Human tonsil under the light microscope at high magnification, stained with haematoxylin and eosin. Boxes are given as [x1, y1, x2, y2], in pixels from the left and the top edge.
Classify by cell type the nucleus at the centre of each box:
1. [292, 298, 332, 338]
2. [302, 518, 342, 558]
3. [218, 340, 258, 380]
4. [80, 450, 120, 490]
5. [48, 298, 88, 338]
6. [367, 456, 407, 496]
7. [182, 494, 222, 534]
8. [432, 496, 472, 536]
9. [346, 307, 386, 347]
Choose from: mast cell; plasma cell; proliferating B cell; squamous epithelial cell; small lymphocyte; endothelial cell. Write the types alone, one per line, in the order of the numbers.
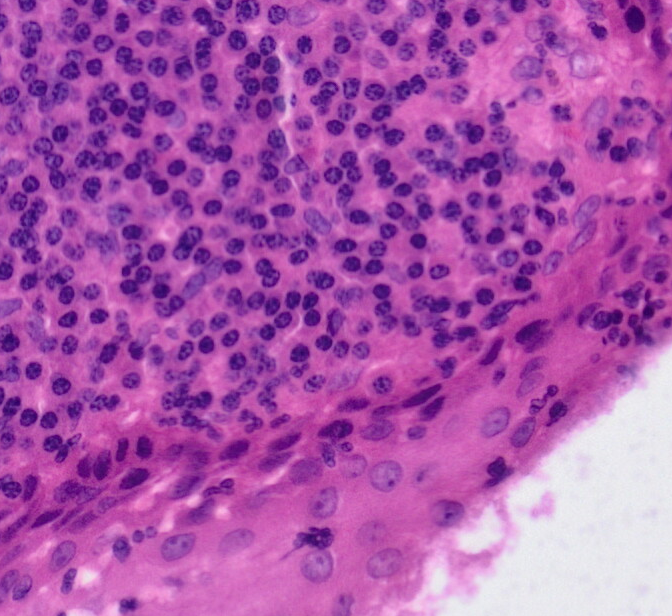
plasma cell
squamous epithelial cell
plasma cell
squamous epithelial cell
plasma cell
squamous epithelial cell
squamous epithelial cell
squamous epithelial cell
plasma cell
